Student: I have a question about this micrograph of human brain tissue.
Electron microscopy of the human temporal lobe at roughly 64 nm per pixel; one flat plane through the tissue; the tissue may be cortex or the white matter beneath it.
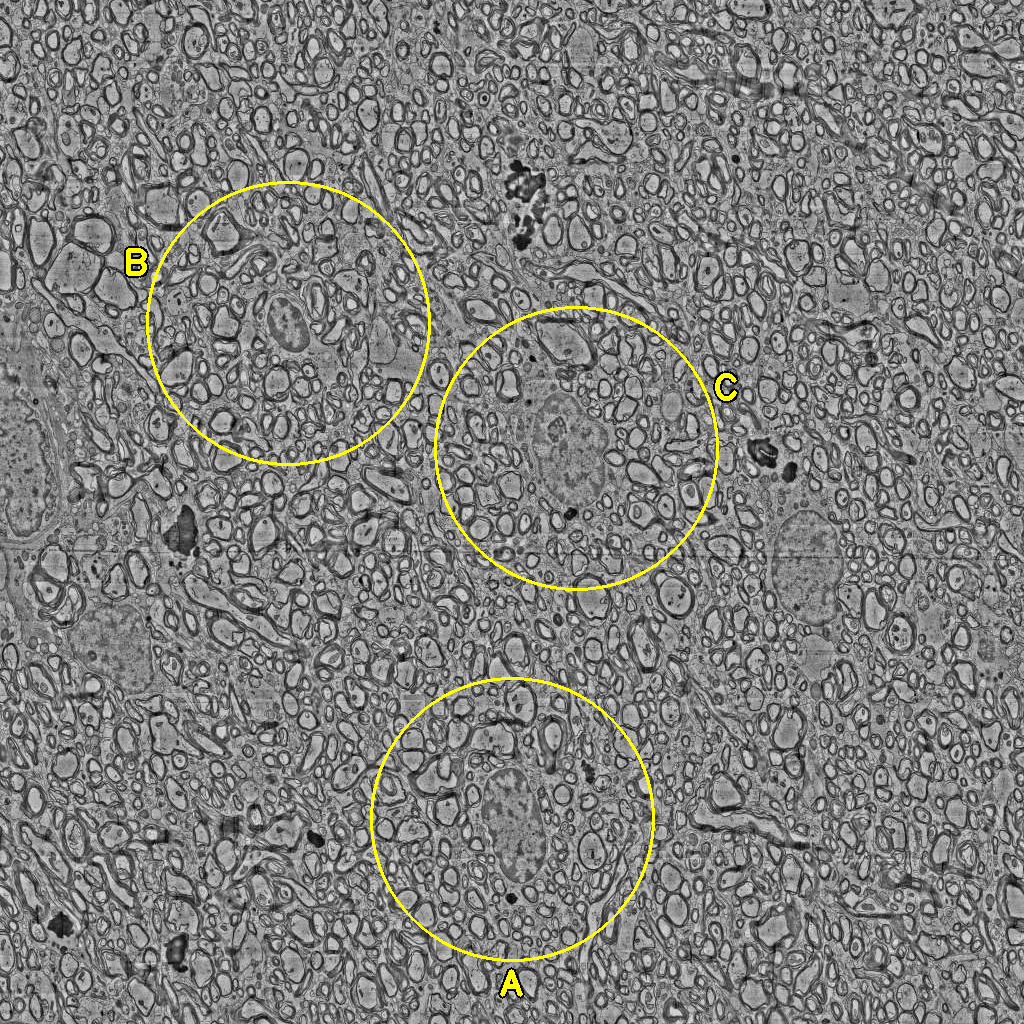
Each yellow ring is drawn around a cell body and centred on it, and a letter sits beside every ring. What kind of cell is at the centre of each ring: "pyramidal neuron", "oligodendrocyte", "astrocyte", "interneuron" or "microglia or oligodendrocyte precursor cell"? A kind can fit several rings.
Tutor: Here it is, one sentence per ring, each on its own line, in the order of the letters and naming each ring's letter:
For ring A, the cell at the centre is a microglial cell or oligodendrocyte precursor cell.
For ring B, the cell at the centre is a microglial cell or oligodendrocyte precursor cell.
For ring C, the cell at the centre is an oligodendrocyte.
